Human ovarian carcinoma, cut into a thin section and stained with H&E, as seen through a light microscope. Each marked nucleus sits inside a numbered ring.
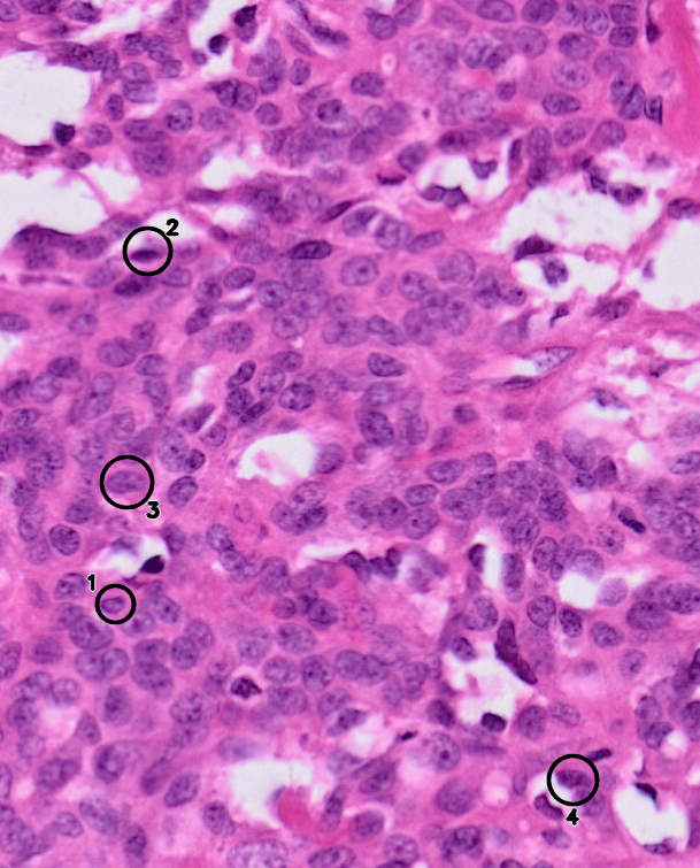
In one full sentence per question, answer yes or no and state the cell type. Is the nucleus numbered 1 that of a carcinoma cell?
No, the cell indicated by 1 is a macrophage or monocyte instead of a carcinoma cell.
